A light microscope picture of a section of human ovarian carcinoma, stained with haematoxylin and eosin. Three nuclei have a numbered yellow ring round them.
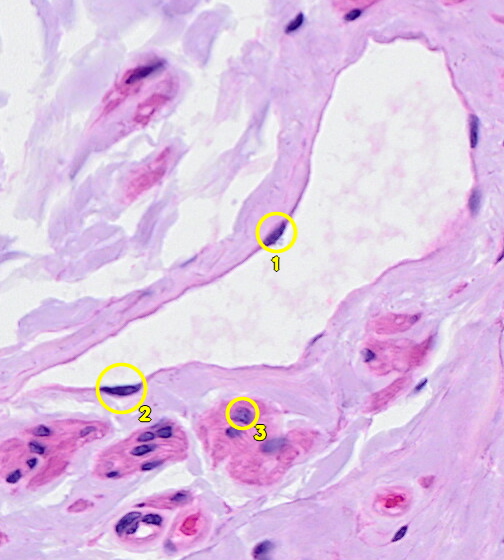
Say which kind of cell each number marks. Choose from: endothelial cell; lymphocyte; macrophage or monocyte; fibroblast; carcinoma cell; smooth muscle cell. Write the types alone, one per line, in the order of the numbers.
endothelial cell
endothelial cell
smooth muscle cell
